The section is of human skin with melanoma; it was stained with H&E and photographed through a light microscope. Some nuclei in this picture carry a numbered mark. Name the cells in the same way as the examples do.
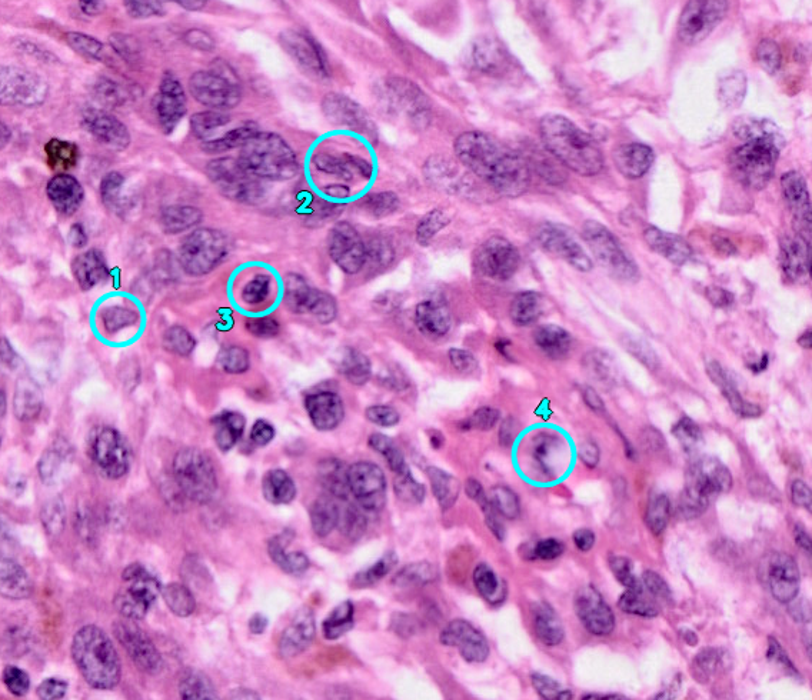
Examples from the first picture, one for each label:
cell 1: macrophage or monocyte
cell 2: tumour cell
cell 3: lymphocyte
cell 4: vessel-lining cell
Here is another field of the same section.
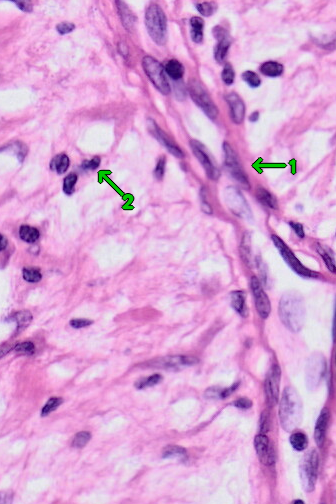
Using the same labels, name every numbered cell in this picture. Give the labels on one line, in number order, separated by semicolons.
vessel-lining cell; lymphocyte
